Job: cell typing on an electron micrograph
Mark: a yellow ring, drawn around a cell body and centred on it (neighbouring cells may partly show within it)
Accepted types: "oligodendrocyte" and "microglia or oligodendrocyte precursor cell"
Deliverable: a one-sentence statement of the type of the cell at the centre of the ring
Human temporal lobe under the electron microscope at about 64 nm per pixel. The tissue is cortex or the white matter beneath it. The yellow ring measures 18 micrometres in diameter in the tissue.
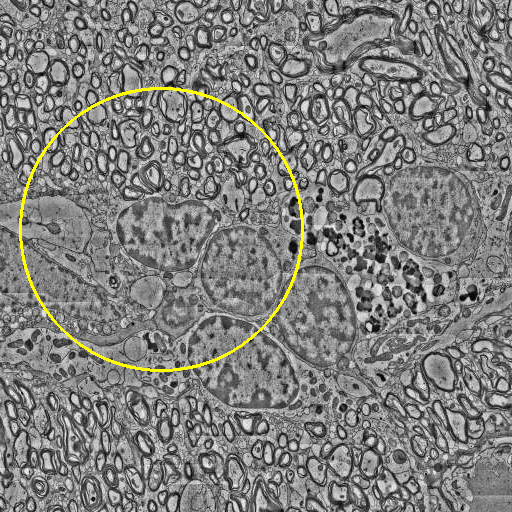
The centred cell body is that of a microglial cell or oligodendrocyte precursor cell.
